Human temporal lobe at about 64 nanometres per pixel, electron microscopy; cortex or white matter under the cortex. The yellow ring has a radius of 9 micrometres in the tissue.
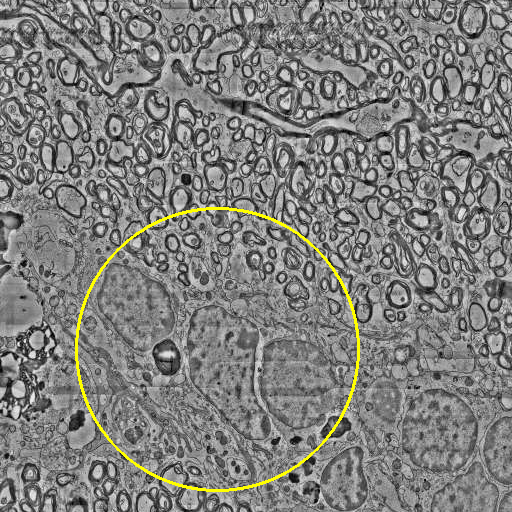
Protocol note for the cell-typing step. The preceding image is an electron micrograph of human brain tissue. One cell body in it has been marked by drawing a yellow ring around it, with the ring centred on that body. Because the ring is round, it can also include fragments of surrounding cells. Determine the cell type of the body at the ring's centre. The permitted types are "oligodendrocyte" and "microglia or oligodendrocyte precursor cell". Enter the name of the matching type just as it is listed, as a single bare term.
microglia or oligodendrocyte precursor cell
